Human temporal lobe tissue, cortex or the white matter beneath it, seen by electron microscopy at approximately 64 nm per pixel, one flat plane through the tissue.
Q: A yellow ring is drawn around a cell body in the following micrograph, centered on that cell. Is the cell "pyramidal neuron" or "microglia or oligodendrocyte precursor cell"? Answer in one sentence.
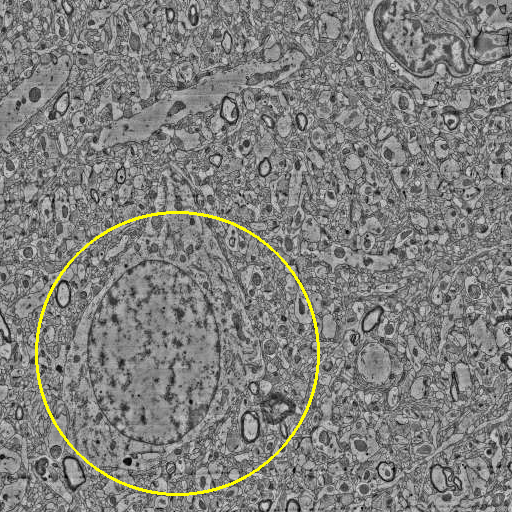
The cell in the center of the ring is a pyramidal neuron.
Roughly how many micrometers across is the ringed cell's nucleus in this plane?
In this plane, the nucleus of the cell at the centre of the ring measures about 12 by 9 micrometres.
